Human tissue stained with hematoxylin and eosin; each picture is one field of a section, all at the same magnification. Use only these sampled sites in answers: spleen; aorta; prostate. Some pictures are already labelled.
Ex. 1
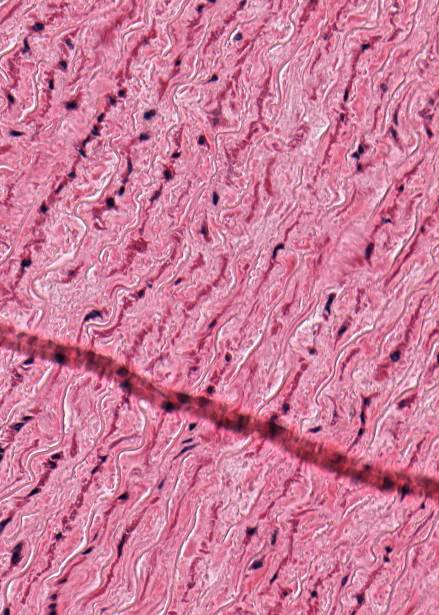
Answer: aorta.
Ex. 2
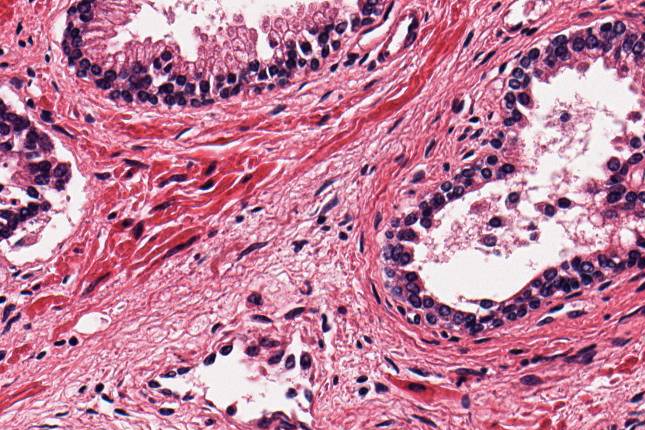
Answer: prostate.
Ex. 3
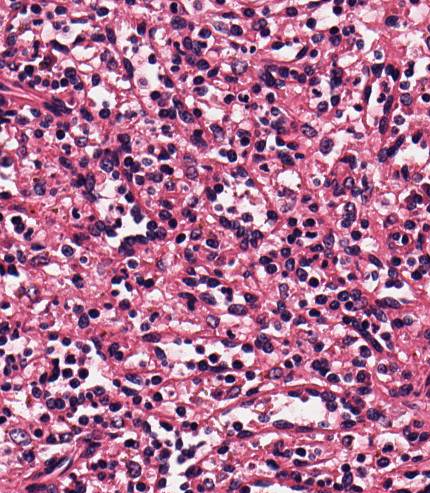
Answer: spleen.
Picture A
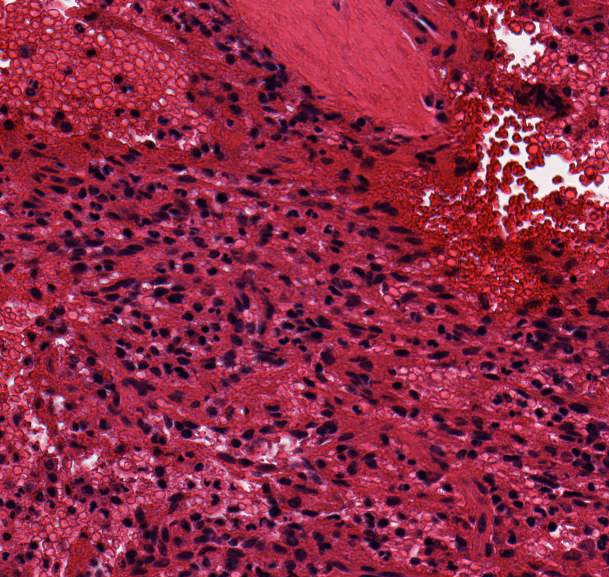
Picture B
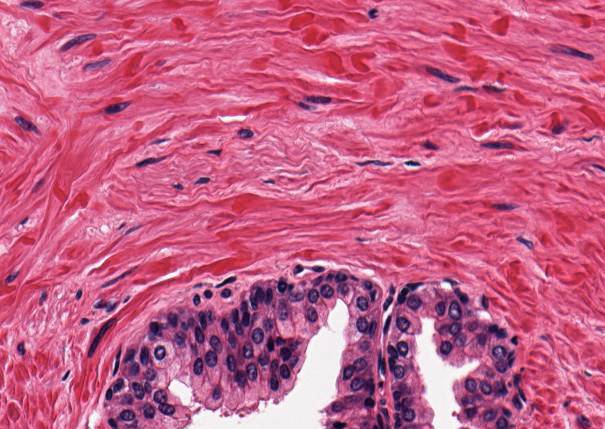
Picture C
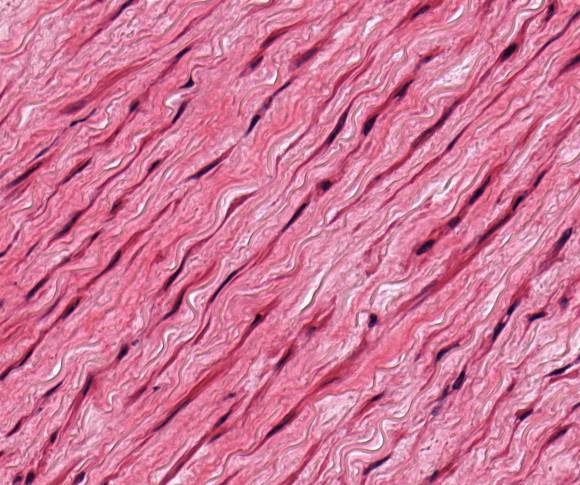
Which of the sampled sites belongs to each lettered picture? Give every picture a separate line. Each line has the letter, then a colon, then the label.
A: spleen.
B: prostate.
C: aorta.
